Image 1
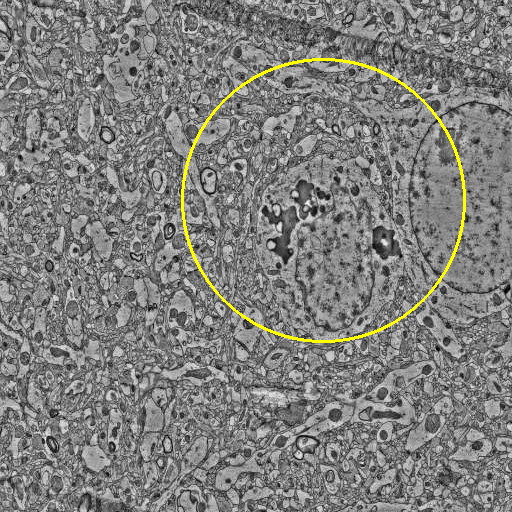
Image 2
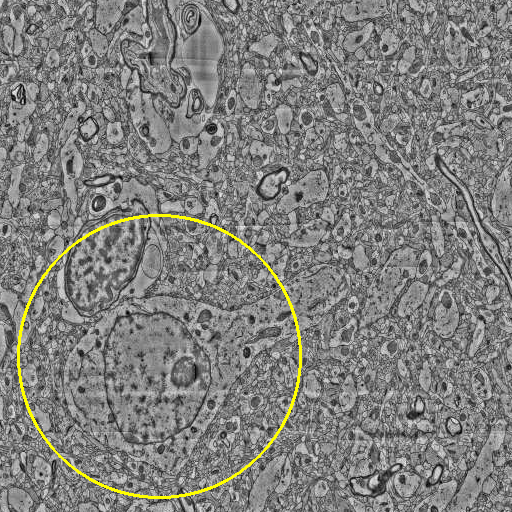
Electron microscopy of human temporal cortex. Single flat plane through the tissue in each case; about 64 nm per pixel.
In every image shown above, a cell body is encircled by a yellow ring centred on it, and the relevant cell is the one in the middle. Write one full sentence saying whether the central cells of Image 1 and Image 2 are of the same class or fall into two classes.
The cell at the ring's centre in Image 1 and its counterpart in Image 2 fall into two classes.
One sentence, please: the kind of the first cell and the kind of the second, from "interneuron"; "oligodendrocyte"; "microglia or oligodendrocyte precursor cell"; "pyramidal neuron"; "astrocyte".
The ring in the first picture surrounds an interneuron, and the ring in the second surrounds a pyramidal neuron.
